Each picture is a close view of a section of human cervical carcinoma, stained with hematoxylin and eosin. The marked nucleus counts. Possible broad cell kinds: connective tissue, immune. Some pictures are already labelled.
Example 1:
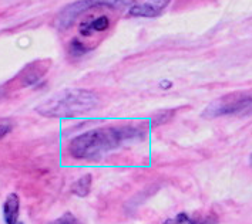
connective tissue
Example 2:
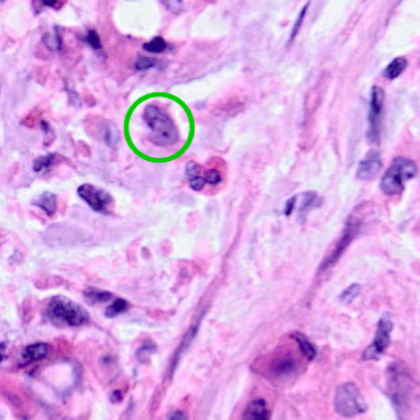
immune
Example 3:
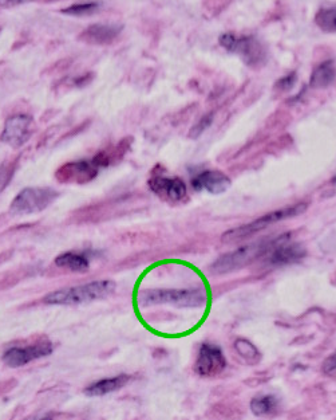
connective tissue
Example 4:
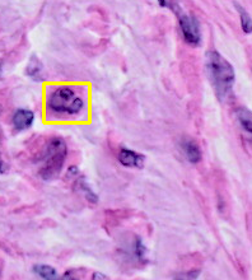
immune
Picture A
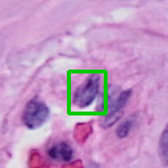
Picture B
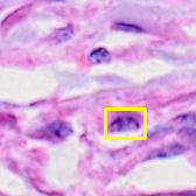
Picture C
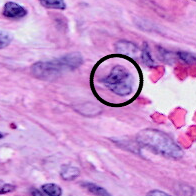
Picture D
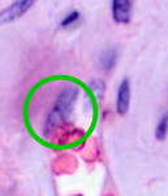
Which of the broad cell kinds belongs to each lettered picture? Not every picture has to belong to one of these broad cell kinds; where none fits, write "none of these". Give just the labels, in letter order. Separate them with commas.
none of these, immune, none of these, none of these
